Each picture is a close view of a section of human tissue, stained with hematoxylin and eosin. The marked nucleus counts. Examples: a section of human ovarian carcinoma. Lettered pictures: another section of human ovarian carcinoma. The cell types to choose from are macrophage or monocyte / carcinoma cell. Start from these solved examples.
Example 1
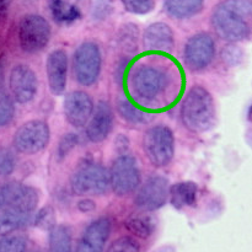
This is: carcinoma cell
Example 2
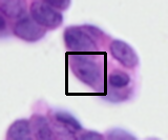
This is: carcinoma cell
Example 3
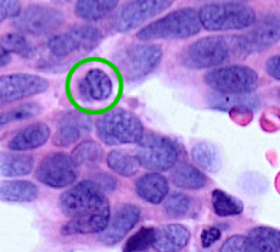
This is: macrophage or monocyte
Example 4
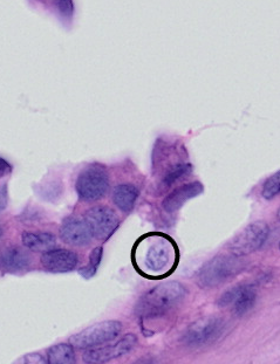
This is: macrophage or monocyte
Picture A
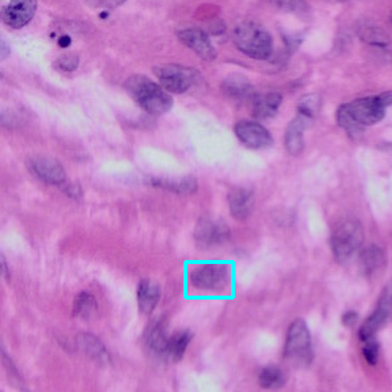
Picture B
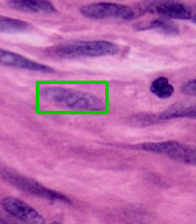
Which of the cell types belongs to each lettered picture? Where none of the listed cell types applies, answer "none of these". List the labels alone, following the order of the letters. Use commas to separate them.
none of these, none of these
